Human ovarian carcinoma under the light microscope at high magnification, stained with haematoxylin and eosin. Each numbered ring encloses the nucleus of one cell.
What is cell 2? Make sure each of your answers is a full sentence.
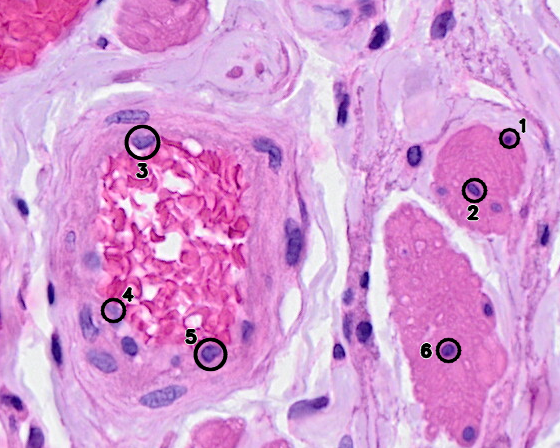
Among the marked nuclei, number 2 belongs to a smooth muscle cell.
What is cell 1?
The cell identified by number 1 is a smooth muscle cell.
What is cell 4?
The label 4 in this section denotes an endothelial cell.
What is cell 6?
The cell bearing label 6 corresponds to a smooth muscle cell.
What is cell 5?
The cell with the number 5 is an endothelial cell.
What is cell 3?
Within this field of view, the cell labelled 3 is an endothelial cell.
